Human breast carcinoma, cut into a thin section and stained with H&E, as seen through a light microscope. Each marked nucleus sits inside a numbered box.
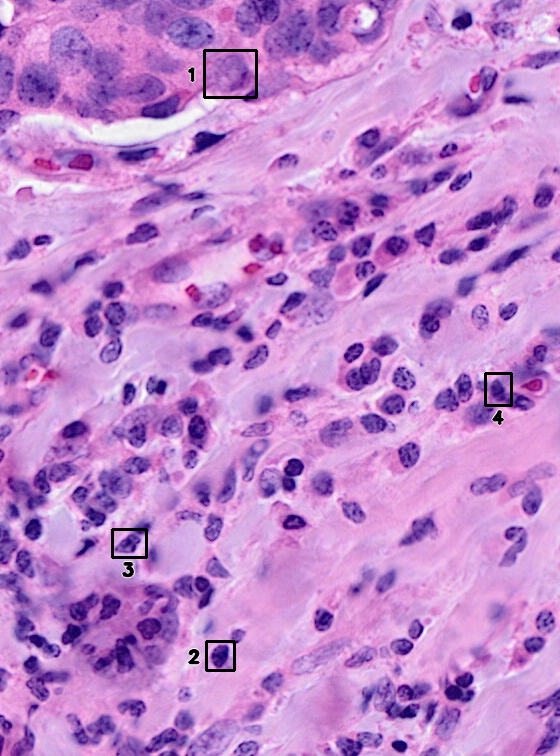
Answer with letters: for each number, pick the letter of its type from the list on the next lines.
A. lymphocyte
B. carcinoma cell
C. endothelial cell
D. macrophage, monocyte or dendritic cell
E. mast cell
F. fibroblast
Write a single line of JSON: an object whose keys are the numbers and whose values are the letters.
{"1": "B", "2": "A", "3": "A", "4": "A"}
